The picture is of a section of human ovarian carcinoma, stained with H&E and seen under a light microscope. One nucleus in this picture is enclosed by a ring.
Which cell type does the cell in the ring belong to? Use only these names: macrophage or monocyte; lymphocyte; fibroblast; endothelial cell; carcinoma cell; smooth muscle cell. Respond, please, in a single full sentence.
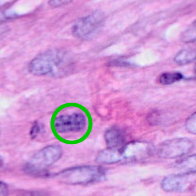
What the cell in the ring represents is a macrophage or monocyte.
